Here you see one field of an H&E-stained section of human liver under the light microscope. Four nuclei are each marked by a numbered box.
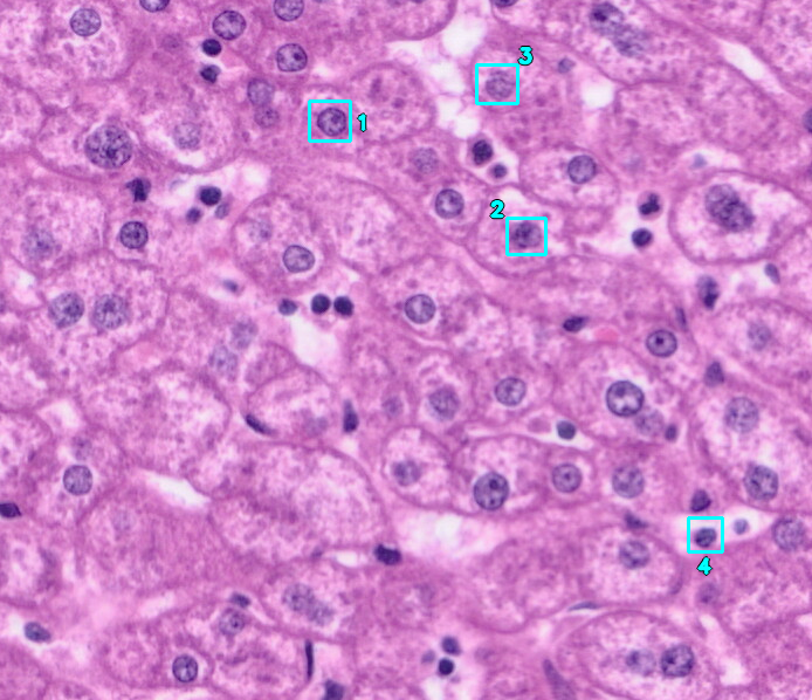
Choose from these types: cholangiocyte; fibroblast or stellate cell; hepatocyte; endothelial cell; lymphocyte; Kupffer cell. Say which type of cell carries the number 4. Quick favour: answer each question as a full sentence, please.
In this section, the cell tagged 4 is a lymphocyte.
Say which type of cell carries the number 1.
The cell with the number 1 is a hepatocyte.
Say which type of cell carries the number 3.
The cell with the number 3 is a hepatocyte.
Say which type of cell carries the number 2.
In the tissue shown, cell 2 is a hepatocyte.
